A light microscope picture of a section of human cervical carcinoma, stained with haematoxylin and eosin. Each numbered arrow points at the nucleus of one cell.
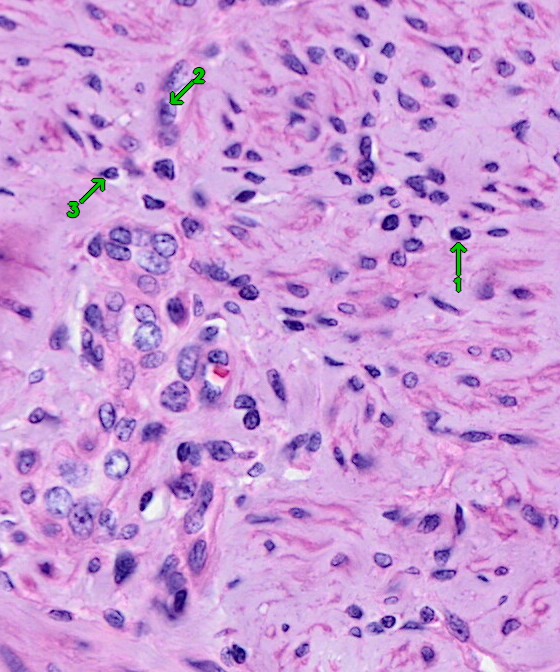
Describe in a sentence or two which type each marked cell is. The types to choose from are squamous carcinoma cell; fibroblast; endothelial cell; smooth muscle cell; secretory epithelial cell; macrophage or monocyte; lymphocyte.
Cells 1 and 3 are lymphocytes. Cell 2 is an endothelial cell.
